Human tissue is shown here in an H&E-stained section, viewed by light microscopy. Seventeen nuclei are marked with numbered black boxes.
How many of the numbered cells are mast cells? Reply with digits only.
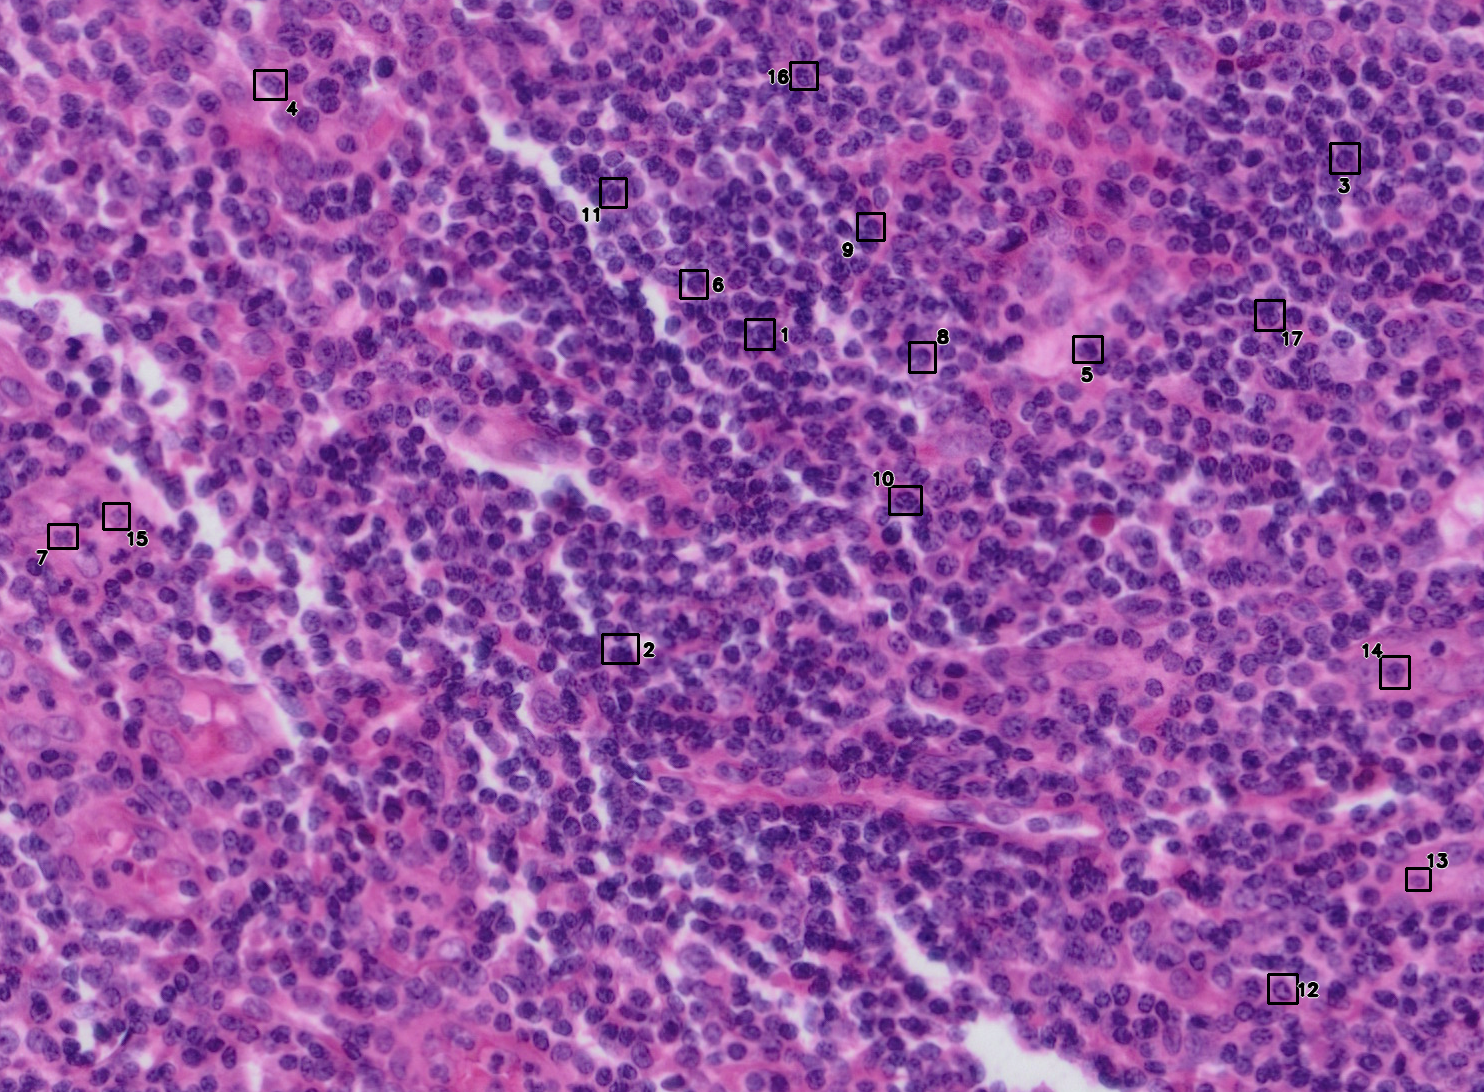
0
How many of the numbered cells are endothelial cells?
5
